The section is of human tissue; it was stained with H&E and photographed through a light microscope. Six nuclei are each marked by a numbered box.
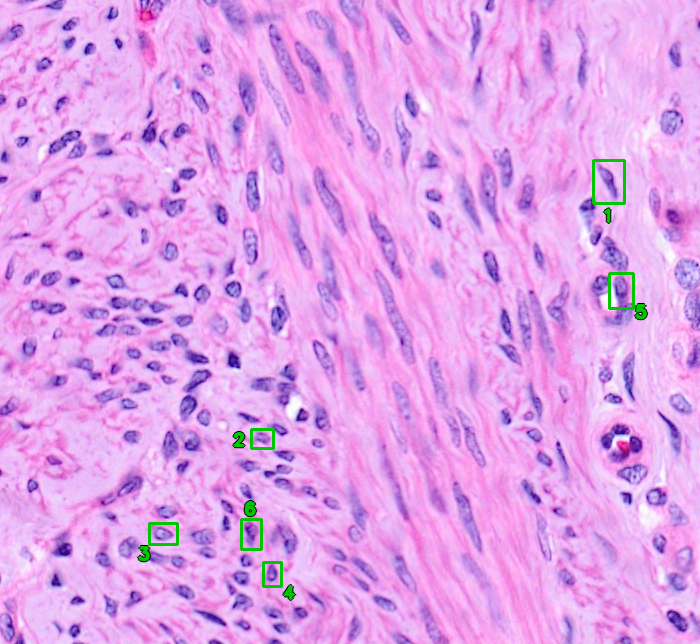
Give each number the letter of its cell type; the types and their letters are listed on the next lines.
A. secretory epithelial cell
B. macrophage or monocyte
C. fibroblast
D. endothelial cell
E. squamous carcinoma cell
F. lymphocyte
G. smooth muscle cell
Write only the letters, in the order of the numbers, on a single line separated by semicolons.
C; G; G; G; D; G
